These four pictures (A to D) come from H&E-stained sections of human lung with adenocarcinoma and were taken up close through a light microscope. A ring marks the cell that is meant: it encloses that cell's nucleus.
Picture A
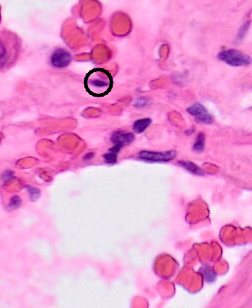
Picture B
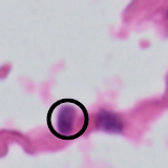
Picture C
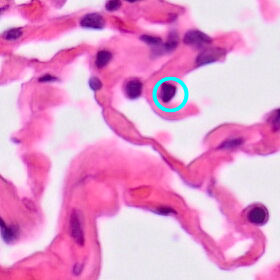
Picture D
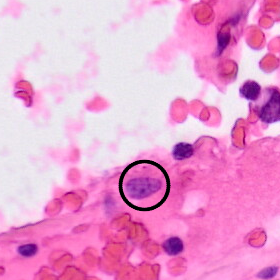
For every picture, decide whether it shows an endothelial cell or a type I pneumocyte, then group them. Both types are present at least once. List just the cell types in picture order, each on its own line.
endothelial cell
type I pneumocyte
type I pneumocyte
type I pneumocyte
